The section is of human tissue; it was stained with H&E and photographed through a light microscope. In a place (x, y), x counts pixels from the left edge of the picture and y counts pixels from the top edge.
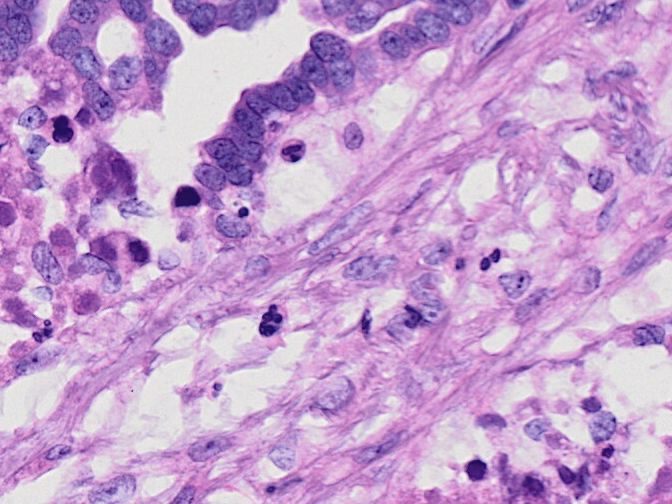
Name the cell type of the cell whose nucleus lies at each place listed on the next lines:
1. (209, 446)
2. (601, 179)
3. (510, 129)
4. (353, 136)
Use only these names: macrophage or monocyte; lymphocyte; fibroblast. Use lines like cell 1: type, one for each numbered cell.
cell 1: fibroblast
cell 2: macrophage or monocyte
cell 3: fibroblast
cell 4: macrophage or monocyte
